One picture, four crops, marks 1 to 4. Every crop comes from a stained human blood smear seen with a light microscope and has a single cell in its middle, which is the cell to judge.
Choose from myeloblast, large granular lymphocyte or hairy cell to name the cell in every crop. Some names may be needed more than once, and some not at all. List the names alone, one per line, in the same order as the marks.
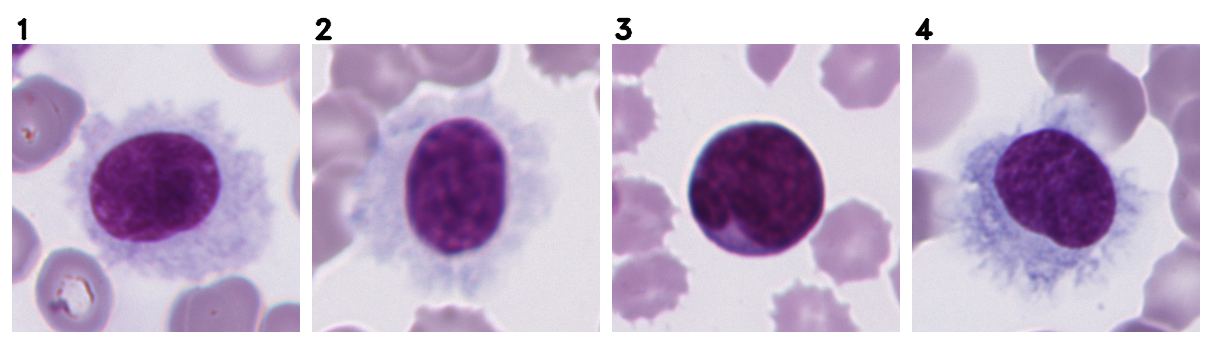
hairy cell
hairy cell
myeloblast
hairy cell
